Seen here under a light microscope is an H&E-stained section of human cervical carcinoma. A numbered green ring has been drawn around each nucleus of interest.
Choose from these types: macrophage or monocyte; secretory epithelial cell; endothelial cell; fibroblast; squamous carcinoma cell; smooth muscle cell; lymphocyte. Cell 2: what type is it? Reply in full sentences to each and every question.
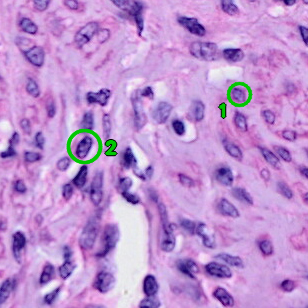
Belonging to a lymphocyte is the nucleus that carries the number 2.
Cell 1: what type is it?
Denoted by the label 1 in the section is a smooth muscle cell.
